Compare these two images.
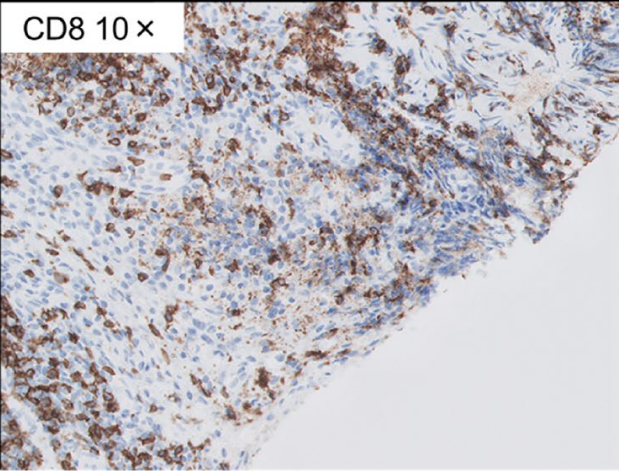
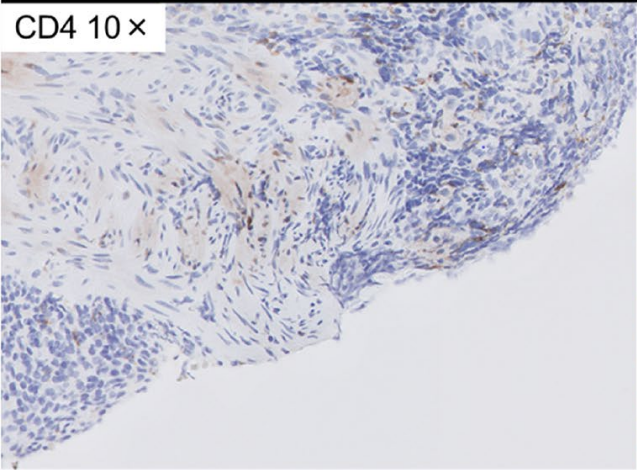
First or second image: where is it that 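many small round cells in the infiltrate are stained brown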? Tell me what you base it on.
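The first image. Second image: almost no cells carry a distinct brown stain; the infiltrate is mostly blue. First image: numerous small round cells are stained dark brown throughout the field.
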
